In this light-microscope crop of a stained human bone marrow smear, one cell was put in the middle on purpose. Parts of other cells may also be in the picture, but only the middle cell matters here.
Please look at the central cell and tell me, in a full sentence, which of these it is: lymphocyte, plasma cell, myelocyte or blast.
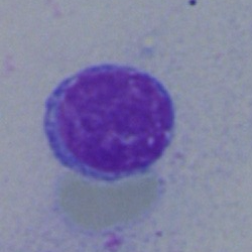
At the crop's centre, the cell is a lymphocyte.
